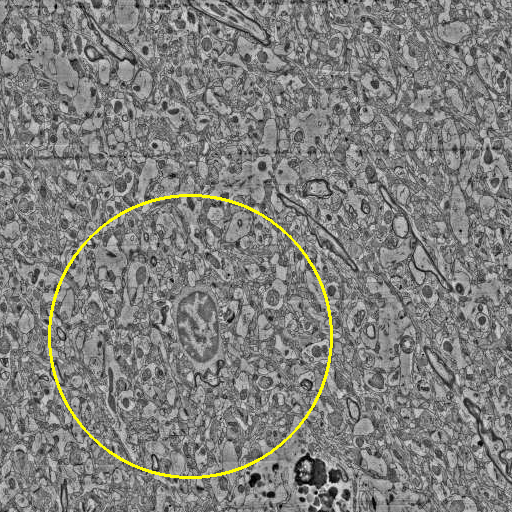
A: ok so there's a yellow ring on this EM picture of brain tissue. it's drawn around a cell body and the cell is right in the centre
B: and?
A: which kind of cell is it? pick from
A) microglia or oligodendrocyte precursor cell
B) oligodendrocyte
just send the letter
B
